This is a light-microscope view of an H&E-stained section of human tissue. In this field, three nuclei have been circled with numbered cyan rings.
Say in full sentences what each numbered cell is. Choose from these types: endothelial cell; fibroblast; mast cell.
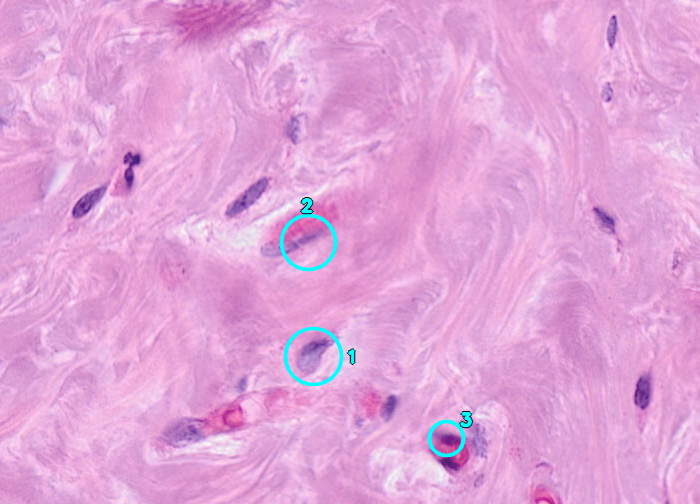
Cell 1 is a fibroblast, cell 2 is an endothelial cell and cell 3 is an endothelial cell.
